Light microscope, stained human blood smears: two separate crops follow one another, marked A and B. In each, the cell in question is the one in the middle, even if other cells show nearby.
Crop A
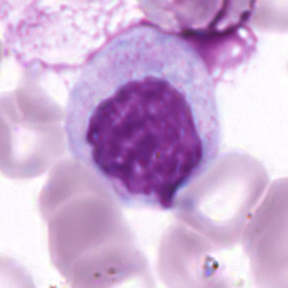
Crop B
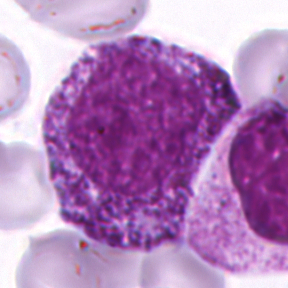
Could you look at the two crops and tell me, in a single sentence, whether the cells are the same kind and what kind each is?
No, a myelocyte is shown in crop A and a promyelocyte in crop B.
